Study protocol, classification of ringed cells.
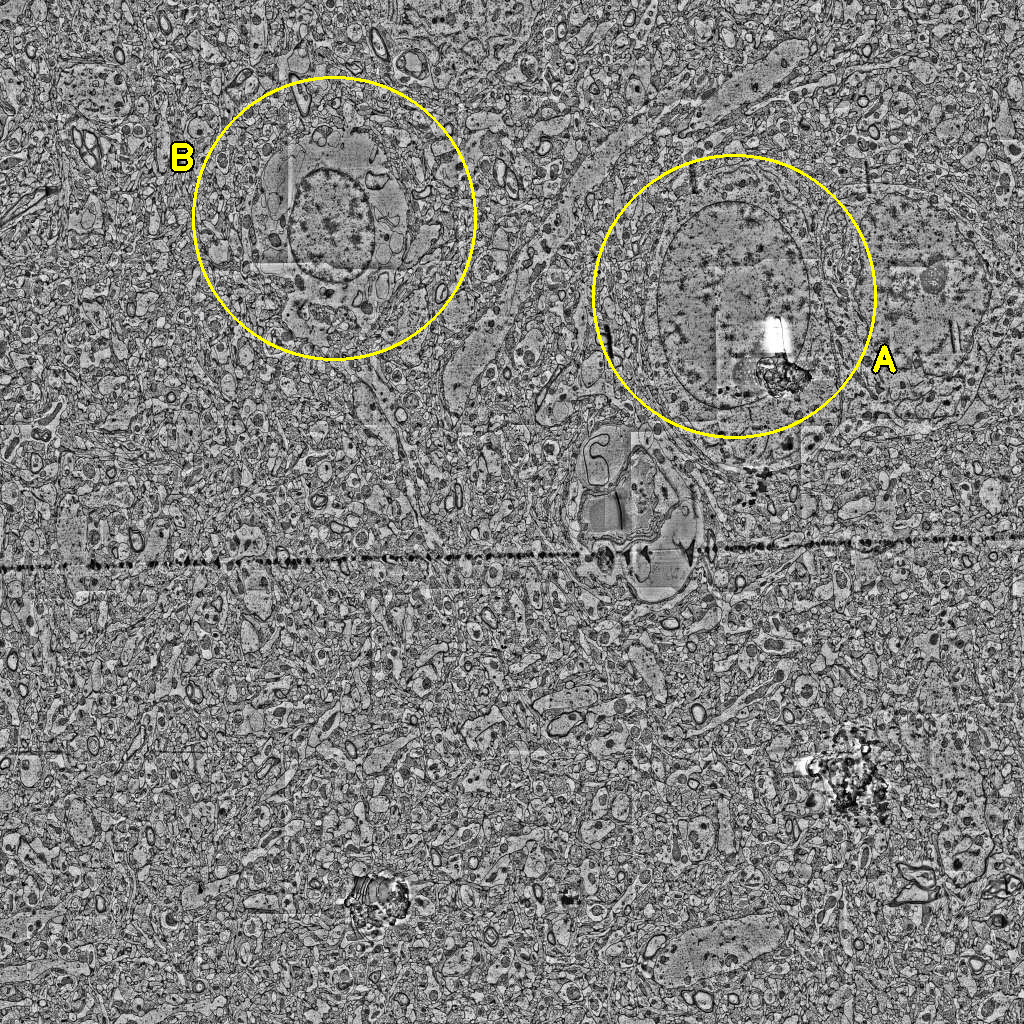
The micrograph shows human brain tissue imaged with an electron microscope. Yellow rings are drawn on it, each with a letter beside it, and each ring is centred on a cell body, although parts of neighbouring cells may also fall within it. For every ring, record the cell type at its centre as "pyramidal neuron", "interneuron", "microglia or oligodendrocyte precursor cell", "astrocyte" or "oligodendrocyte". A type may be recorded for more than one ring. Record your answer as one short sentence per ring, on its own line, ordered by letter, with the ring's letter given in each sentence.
Ring A has been centred on a pyramidal neuron.
Ring B has been centred on an astrocyte.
